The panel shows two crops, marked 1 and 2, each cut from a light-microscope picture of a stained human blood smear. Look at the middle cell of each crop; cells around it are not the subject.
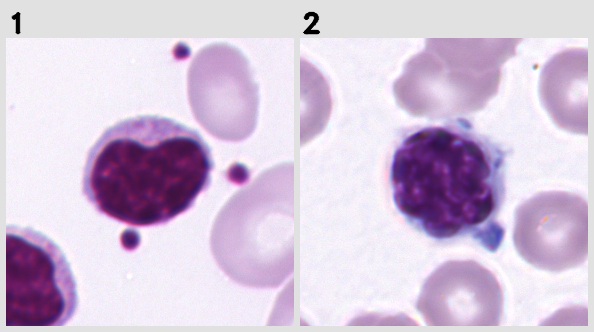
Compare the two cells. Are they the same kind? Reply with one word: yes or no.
no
